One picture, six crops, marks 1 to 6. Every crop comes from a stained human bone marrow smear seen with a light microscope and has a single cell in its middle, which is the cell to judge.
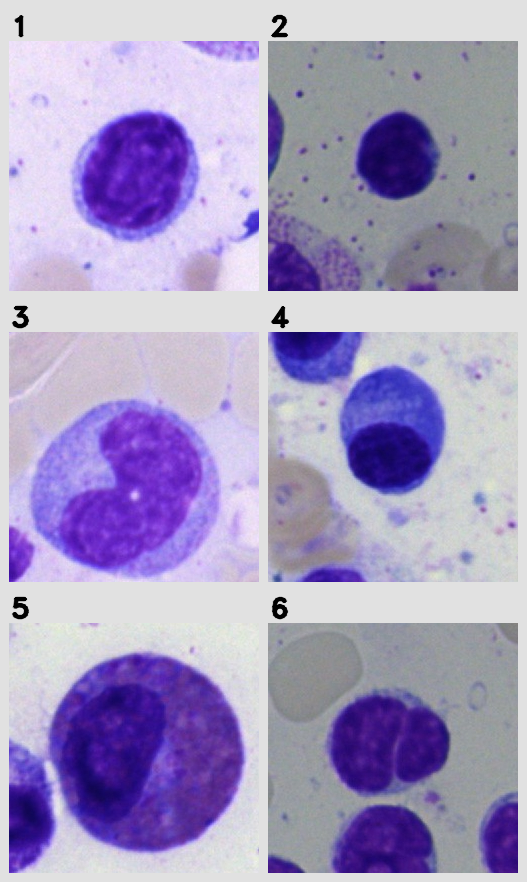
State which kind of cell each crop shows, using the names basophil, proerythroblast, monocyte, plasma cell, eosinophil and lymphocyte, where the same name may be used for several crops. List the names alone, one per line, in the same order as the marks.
lymphocyte
lymphocyte
monocyte
plasma cell
eosinophil
lymphocyte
